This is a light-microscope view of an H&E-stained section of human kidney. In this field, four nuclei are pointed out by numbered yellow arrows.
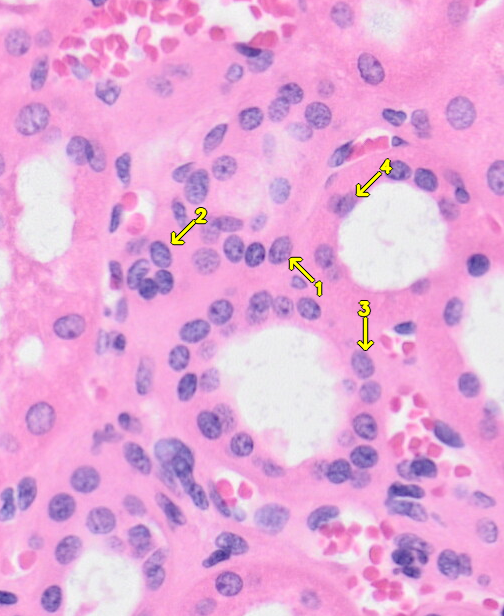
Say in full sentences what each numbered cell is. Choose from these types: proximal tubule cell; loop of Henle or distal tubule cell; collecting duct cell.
Cell 1 is a collecting duct cell, cell 2 is a collecting duct cell, cell 3 is a collecting duct cell and cell 4 is a loop of Henle or distal tubule cell.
